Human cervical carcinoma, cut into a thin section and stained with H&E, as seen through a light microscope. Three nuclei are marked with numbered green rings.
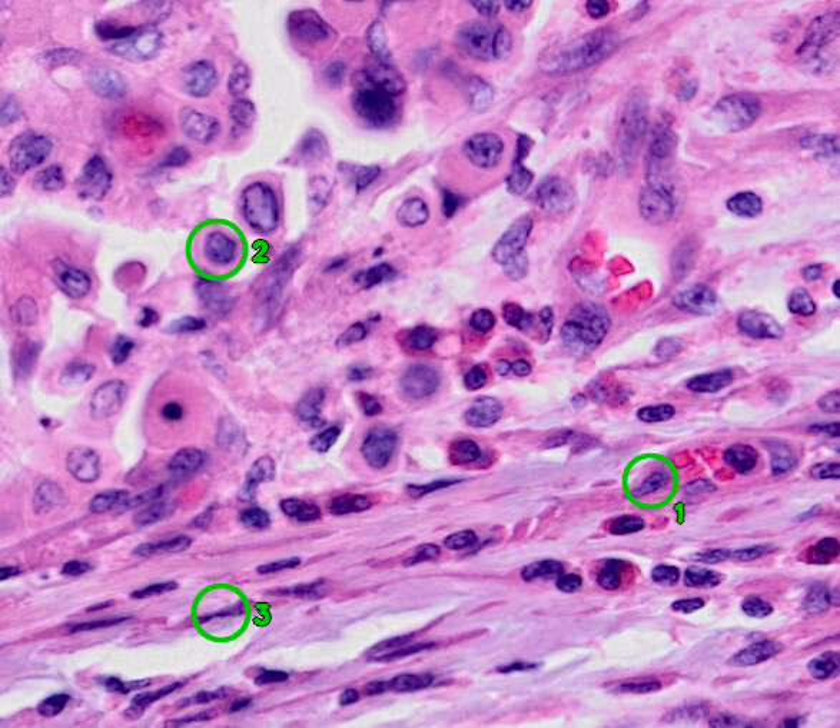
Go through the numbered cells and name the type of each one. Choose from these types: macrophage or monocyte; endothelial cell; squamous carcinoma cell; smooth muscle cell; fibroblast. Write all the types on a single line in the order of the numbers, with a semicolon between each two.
endothelial cell; squamous carcinoma cell; fibroblast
